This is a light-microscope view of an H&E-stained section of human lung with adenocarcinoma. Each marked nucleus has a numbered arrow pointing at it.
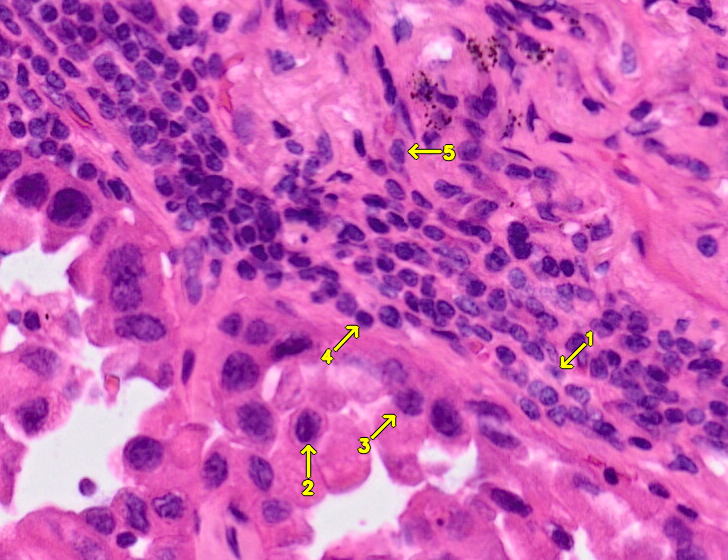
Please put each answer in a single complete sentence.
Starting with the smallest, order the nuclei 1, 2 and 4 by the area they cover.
Smallest first, the nuclei run 1, 4, 2.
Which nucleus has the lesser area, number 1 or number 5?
Nucleus 1 is the smaller one; nucleus 5 covers about 2 times its area.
